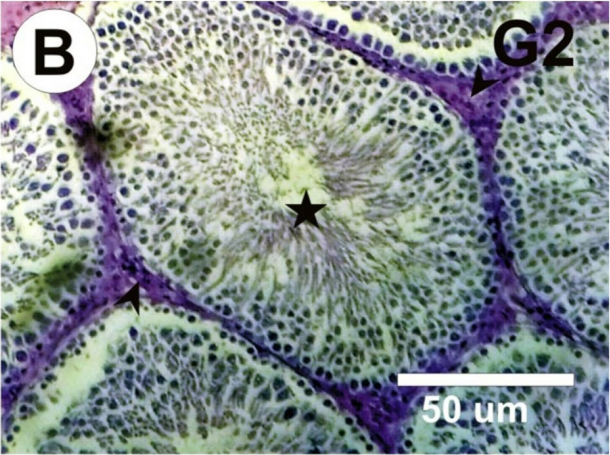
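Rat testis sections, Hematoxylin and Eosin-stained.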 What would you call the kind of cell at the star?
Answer: sperms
